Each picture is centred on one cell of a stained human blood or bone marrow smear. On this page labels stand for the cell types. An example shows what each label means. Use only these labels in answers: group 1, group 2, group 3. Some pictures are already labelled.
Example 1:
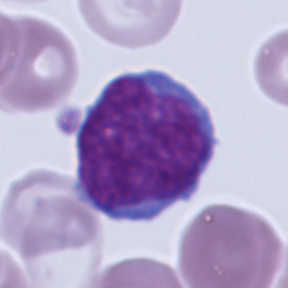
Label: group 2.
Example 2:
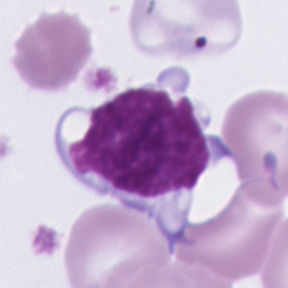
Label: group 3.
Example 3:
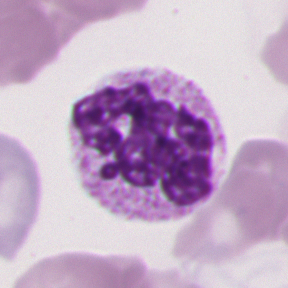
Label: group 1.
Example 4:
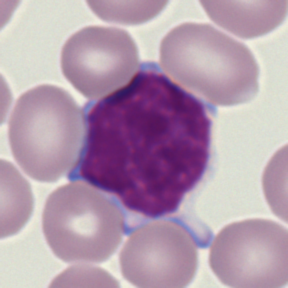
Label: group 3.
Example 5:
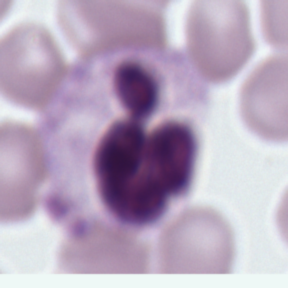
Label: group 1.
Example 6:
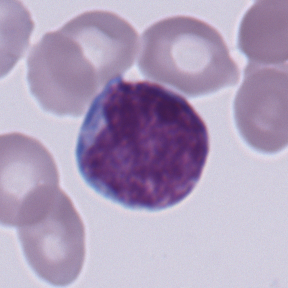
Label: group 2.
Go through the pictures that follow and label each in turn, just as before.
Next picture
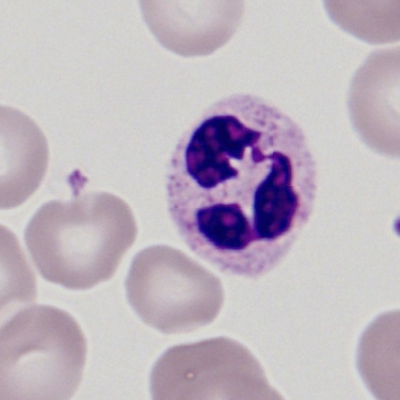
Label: group 1.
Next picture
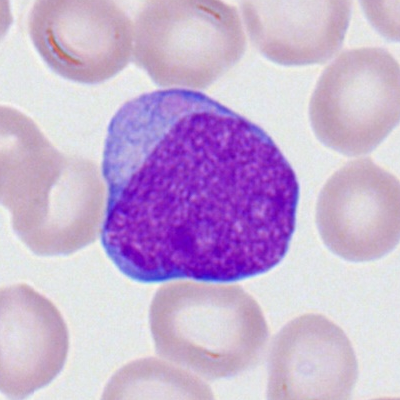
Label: group 2.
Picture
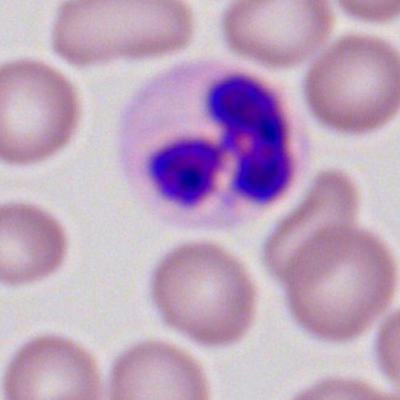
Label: group 1.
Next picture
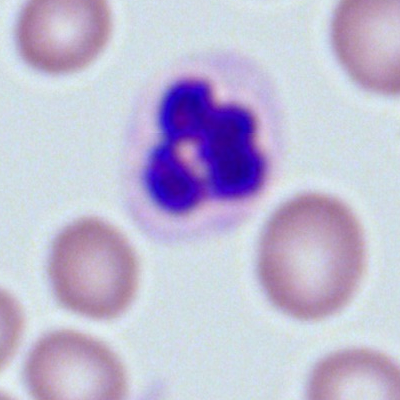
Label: group 1.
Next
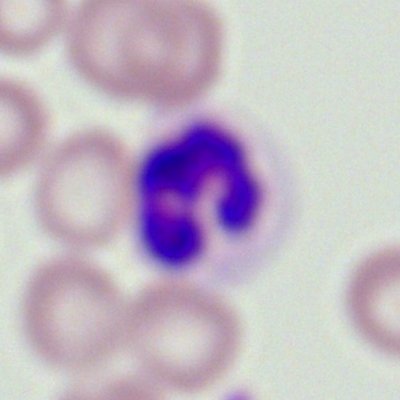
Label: group 1.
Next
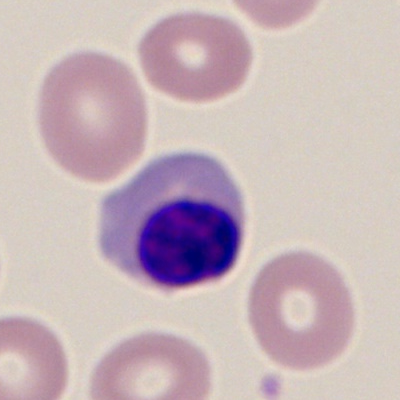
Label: group 3.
